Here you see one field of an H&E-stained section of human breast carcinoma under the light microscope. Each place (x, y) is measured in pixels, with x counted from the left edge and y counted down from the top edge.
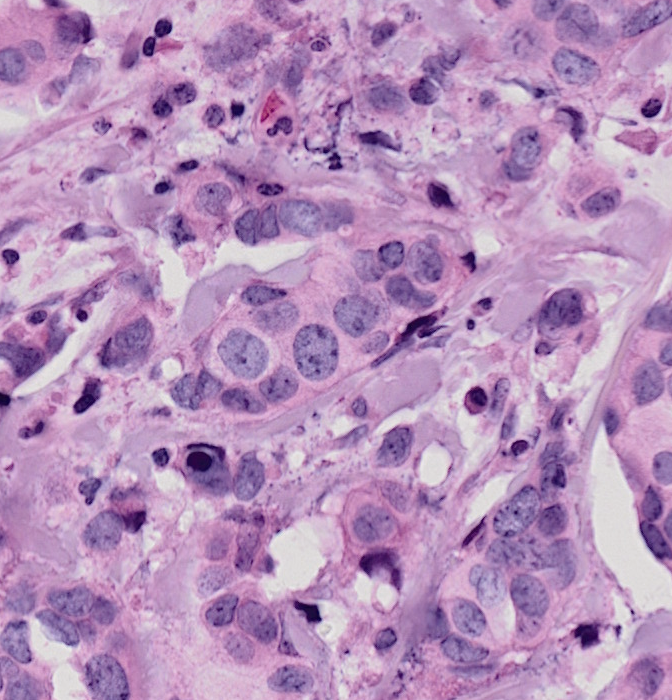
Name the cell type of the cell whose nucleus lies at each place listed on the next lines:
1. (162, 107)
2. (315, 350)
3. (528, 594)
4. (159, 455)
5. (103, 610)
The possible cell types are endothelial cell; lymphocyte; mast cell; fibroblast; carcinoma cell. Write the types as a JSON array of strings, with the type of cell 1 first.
["lymphocyte", "carcinoma cell", "carcinoma cell", "lymphocyte", "carcinoma cell"]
